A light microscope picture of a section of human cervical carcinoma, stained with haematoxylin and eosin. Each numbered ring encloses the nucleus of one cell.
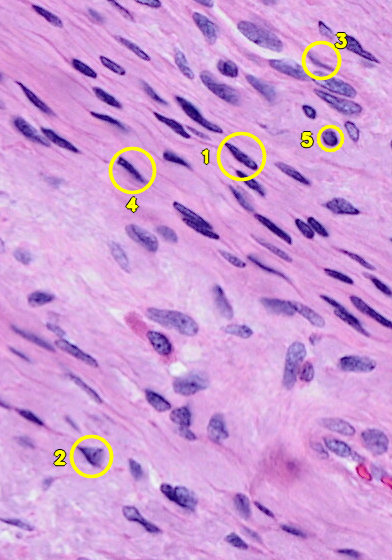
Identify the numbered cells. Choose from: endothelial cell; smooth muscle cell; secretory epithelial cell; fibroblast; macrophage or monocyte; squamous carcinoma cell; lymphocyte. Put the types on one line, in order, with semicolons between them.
fibroblast; fibroblast; endothelial cell; fibroblast; smooth muscle cell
